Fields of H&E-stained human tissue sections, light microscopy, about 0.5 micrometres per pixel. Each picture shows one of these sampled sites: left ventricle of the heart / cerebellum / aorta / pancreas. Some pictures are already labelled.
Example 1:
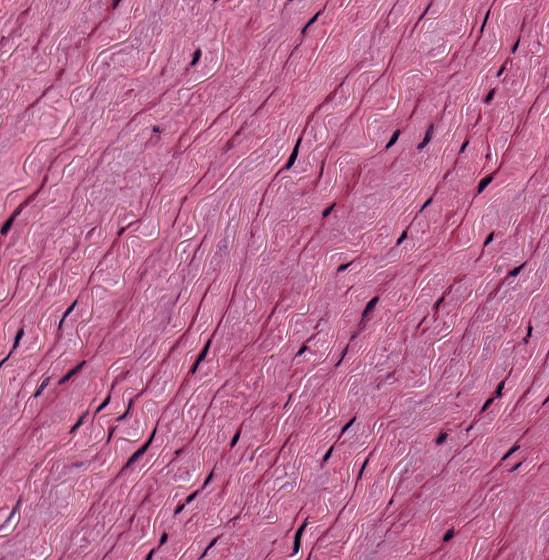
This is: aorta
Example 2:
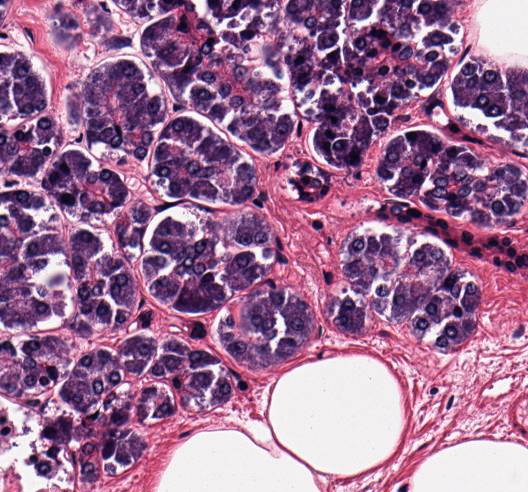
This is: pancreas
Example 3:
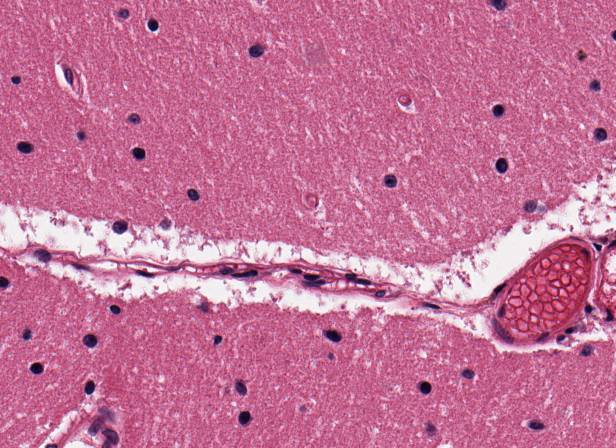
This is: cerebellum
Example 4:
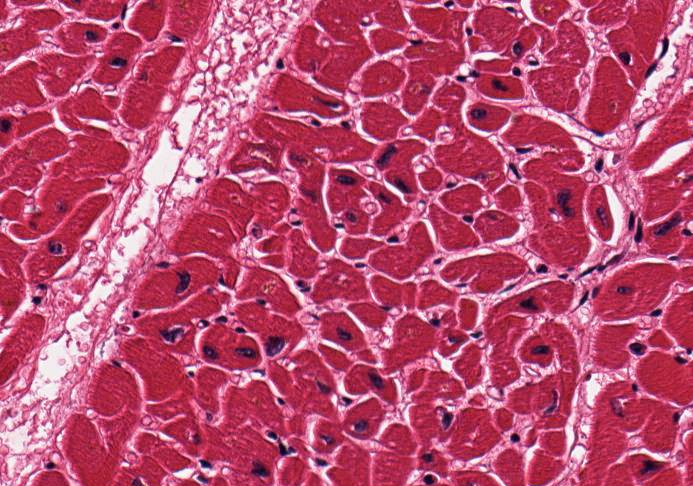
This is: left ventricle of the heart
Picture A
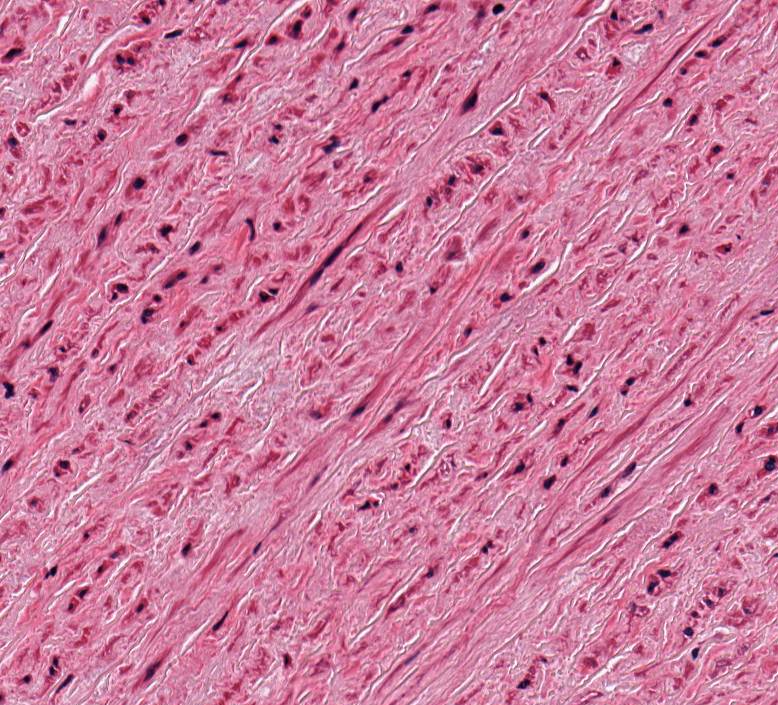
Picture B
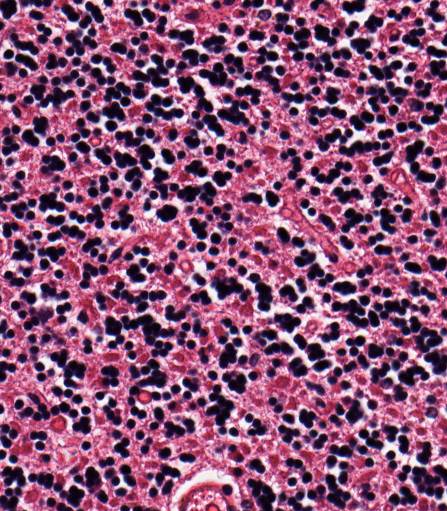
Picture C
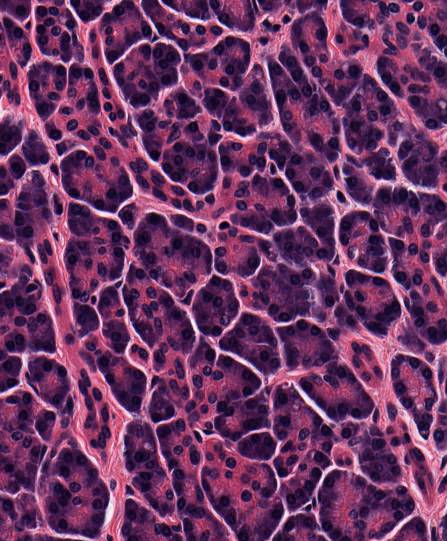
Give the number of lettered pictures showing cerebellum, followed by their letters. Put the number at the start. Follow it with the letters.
1: B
